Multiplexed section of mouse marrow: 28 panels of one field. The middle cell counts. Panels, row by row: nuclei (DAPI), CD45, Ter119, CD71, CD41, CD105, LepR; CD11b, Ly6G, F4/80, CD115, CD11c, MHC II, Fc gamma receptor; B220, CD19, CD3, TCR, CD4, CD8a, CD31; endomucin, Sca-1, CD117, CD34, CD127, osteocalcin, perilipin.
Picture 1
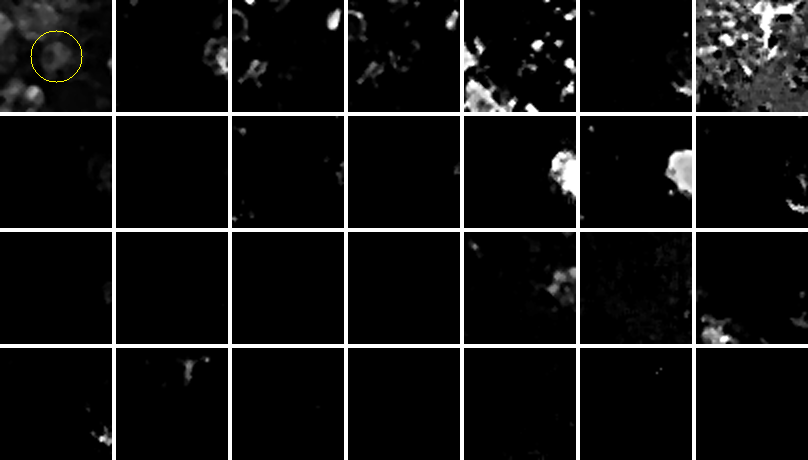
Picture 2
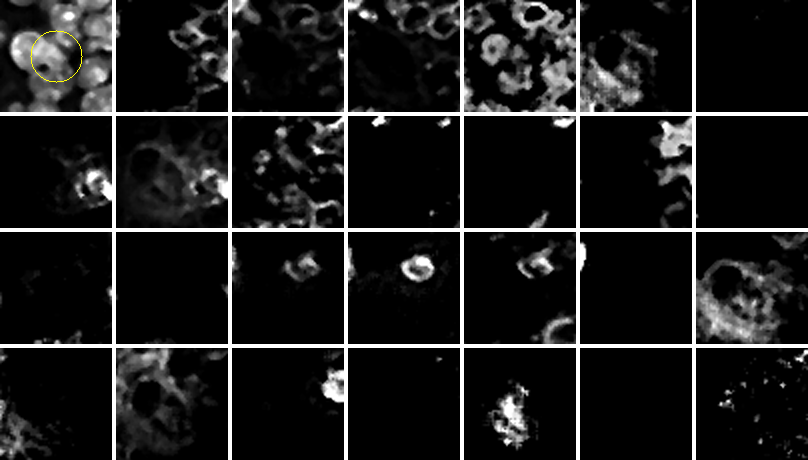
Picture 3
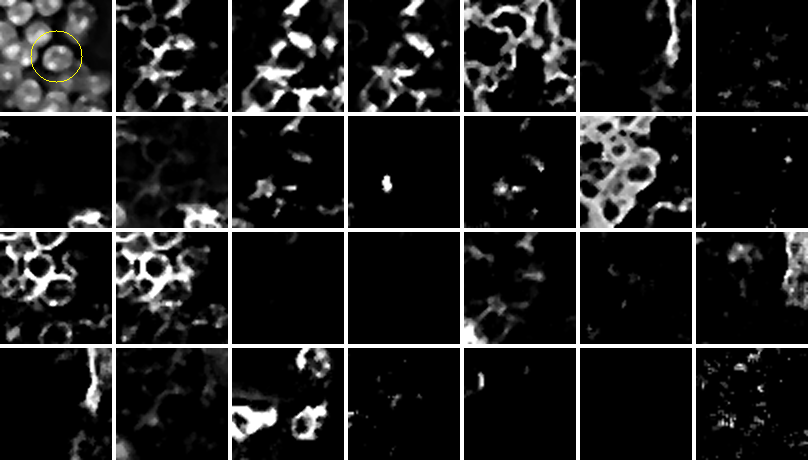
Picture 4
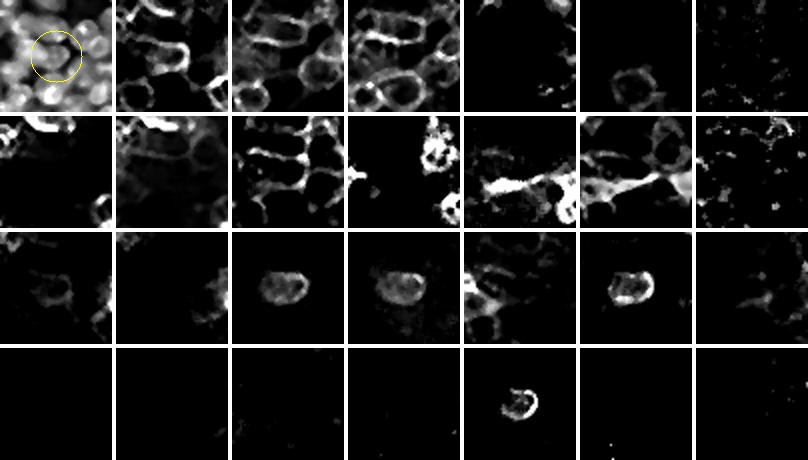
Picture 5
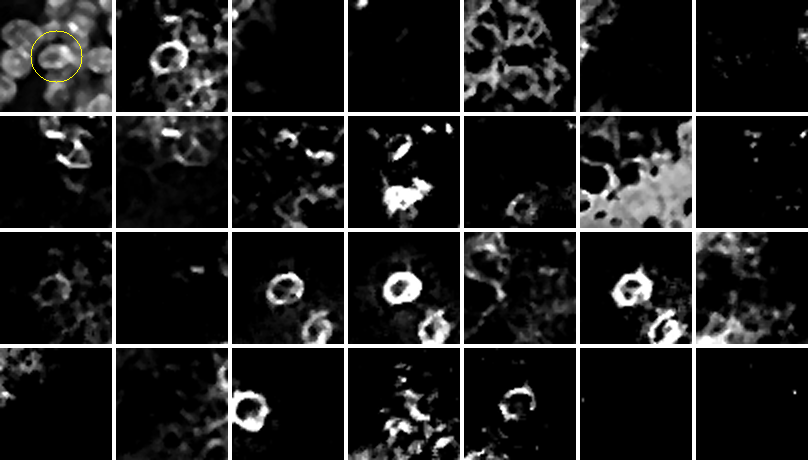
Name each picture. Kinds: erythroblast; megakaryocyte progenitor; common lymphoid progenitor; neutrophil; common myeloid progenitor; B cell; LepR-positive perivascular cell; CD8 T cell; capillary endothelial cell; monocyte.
1: LepR-positive perivascular cell
2: common lymphoid progenitor
3: B cell
4: common lymphoid progenitor
5: CD8 T cell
